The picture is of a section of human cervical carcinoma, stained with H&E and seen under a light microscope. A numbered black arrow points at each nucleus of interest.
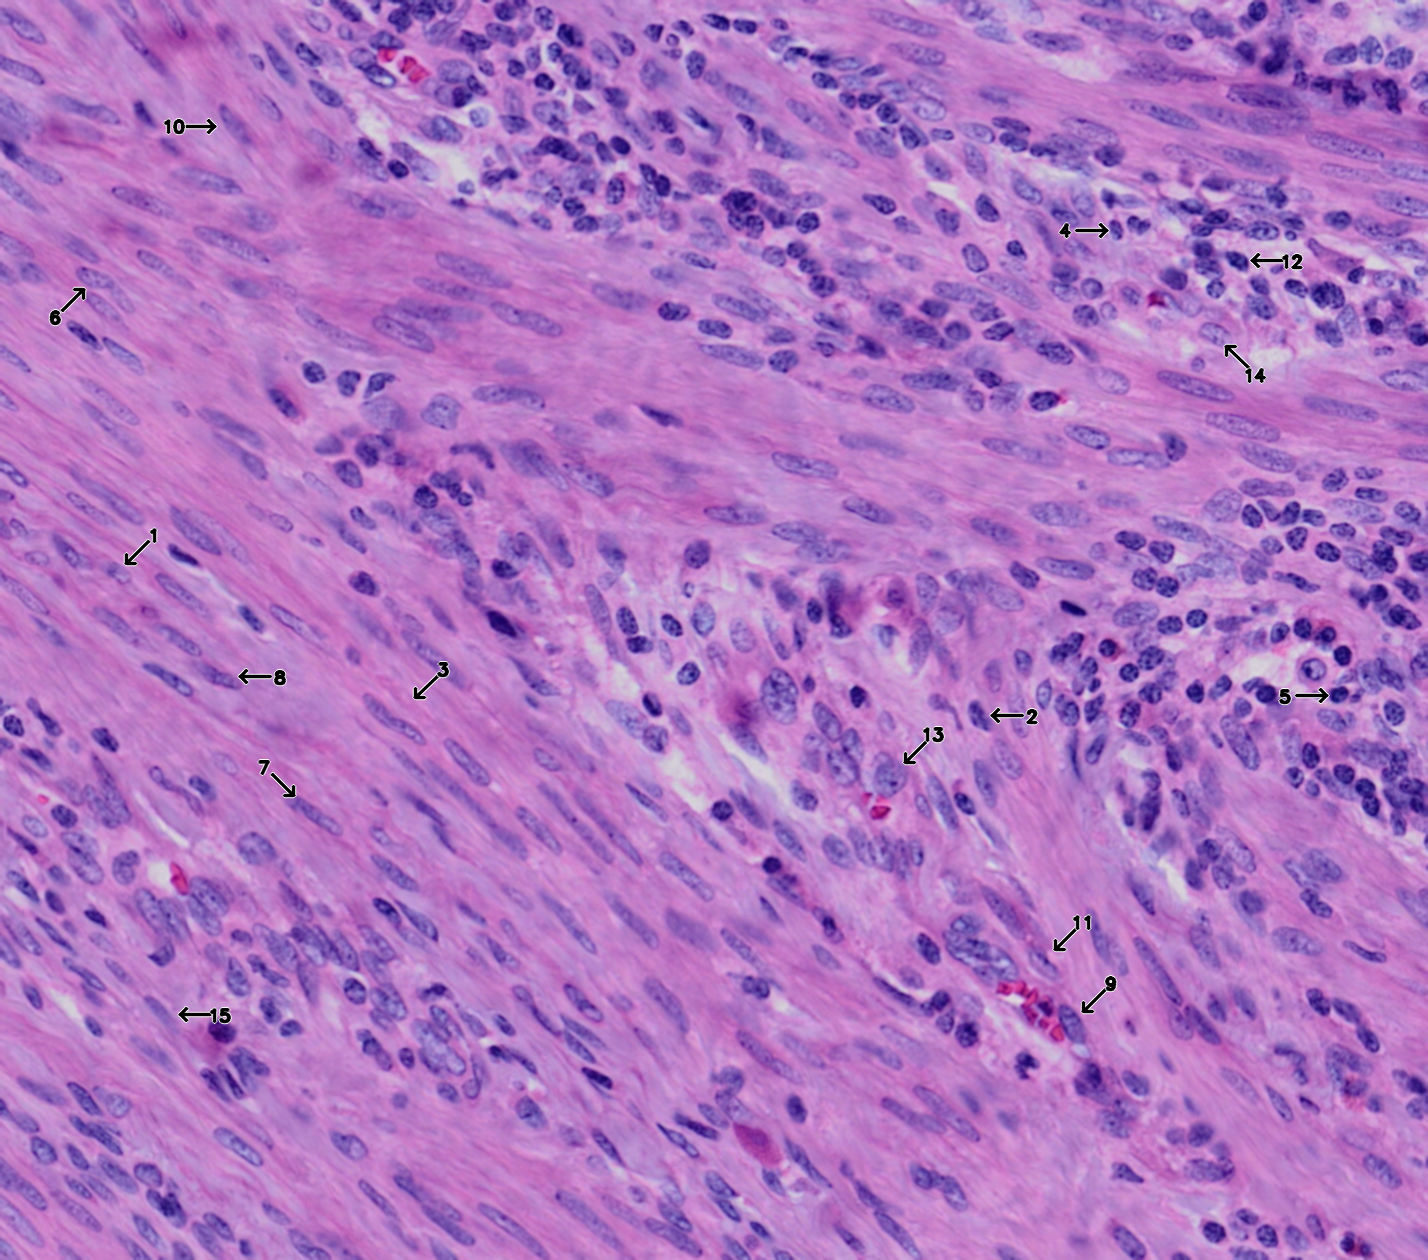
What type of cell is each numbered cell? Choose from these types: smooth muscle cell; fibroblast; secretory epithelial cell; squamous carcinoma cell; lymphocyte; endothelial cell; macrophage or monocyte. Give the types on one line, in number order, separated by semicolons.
smooth muscle cell; lymphocyte; smooth muscle cell; lymphocyte; lymphocyte; smooth muscle cell; smooth muscle cell; smooth muscle cell; endothelial cell; smooth muscle cell; endothelial cell; lymphocyte; endothelial cell; endothelial cell; fibroblast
